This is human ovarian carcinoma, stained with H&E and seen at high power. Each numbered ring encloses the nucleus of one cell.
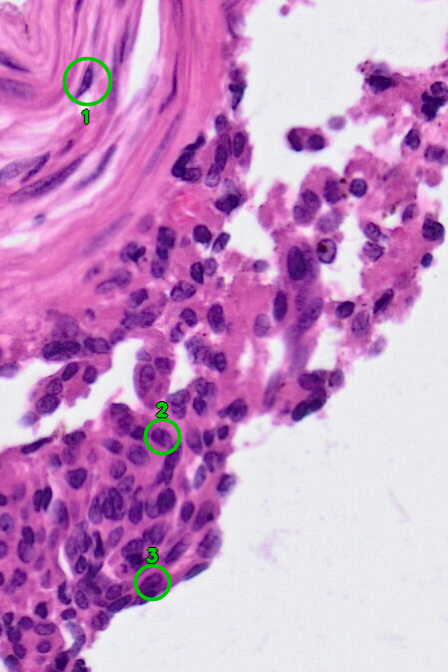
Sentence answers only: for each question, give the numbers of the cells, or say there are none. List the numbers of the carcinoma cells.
As for the cells numbered 2 and 3, they are carcinoma cells.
